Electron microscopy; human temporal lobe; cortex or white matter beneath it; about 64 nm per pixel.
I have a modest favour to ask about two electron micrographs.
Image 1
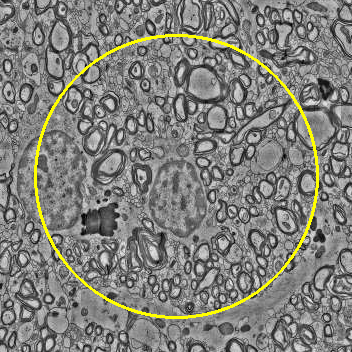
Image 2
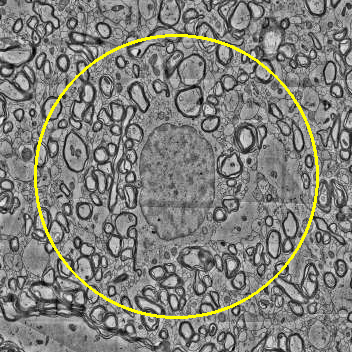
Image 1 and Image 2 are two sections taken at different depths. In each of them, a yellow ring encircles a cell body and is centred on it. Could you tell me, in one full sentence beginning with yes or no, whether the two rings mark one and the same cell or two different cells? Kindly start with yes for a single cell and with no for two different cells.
No, the two rings were placed on two different cells.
